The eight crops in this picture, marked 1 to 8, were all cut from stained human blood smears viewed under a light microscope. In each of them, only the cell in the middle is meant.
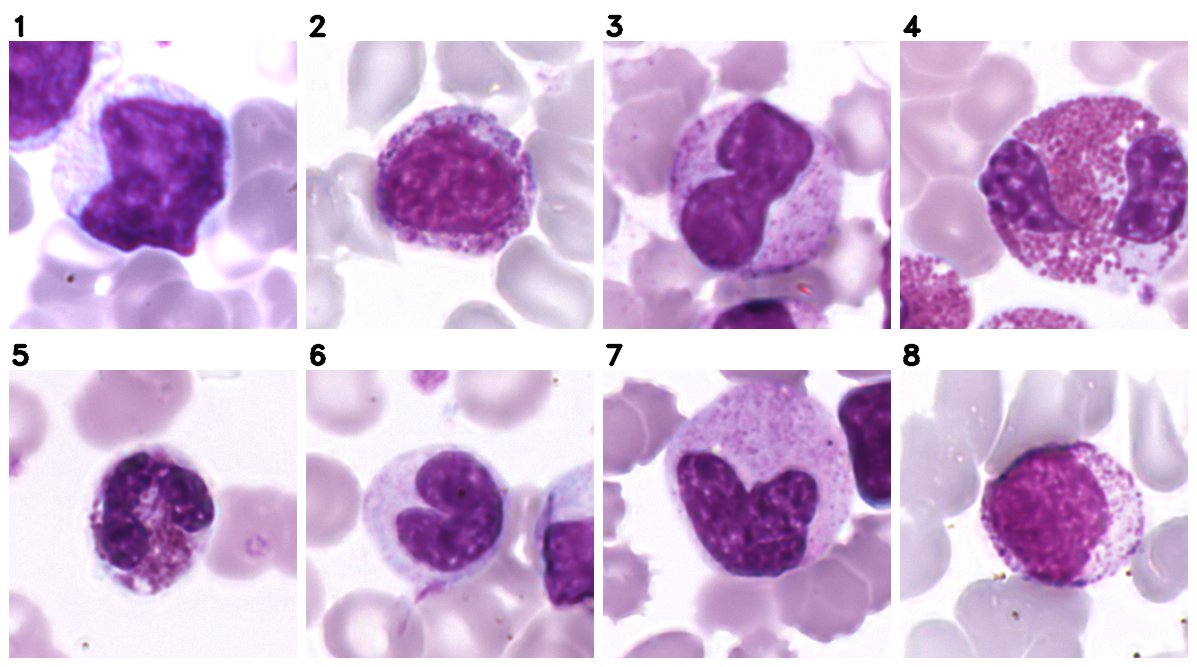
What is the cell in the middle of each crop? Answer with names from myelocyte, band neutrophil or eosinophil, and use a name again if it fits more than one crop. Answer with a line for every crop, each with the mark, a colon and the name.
1: band neutrophil
2: myelocyte
3: band neutrophil
4: eosinophil
5: eosinophil
6: band neutrophil
7: band neutrophil
8: myelocyte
